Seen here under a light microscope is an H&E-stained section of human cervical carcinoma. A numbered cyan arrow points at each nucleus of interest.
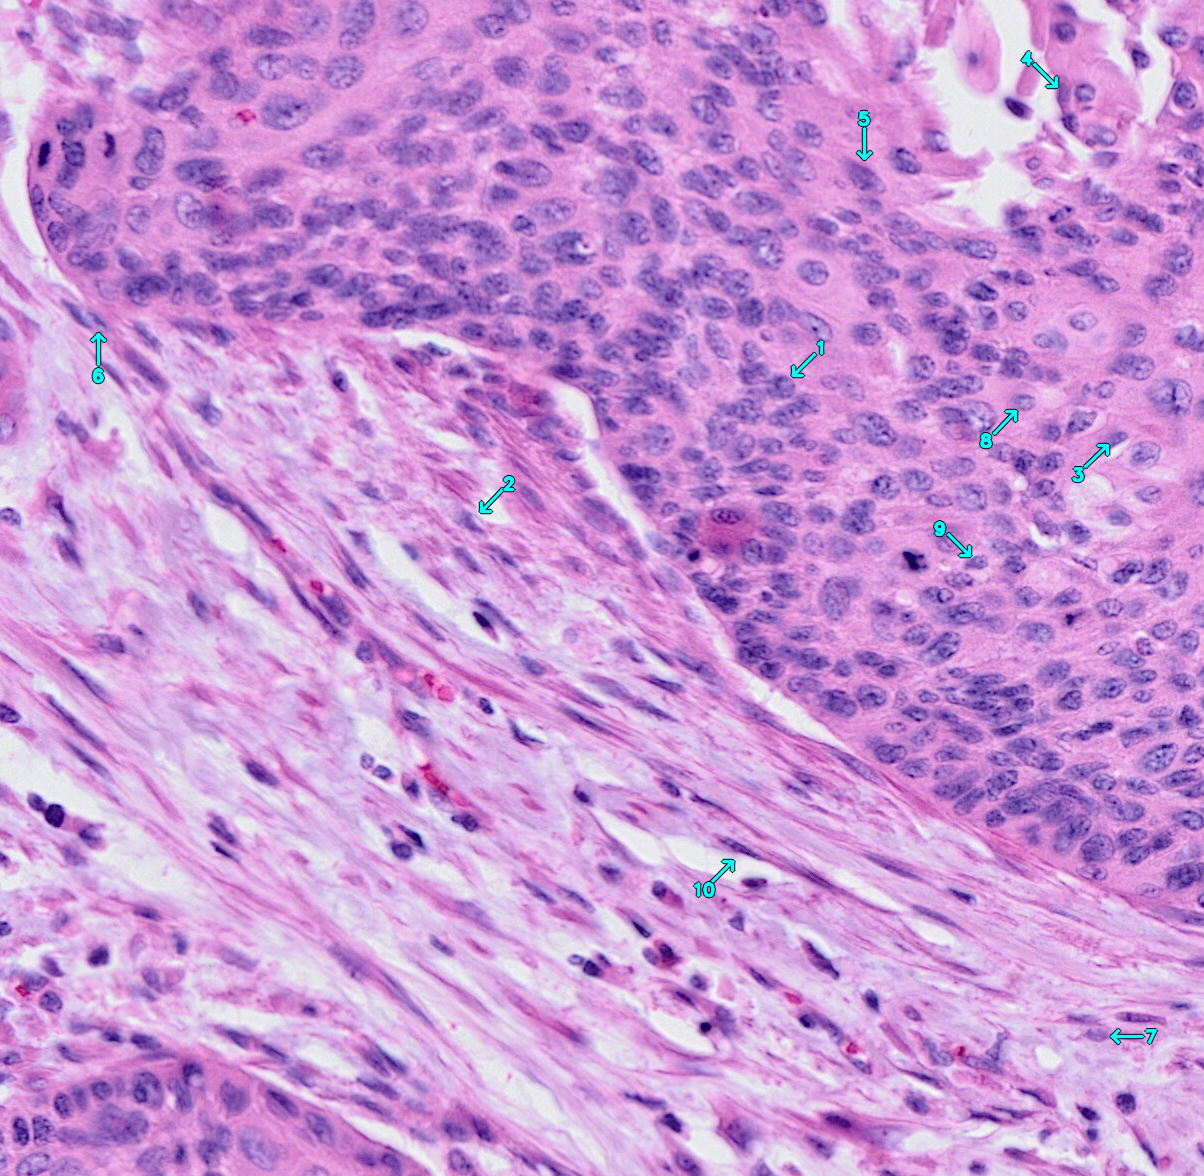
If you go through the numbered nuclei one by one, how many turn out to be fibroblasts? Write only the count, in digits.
3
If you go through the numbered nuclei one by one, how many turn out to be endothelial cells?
1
